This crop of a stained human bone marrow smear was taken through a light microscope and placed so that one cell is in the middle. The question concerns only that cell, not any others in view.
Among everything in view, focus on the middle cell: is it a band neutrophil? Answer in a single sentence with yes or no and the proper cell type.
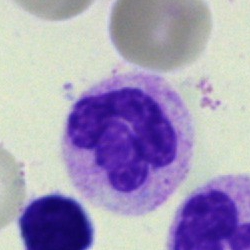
No, the central cell is not a band neutrophil; it is a segmented neutrophil instead.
